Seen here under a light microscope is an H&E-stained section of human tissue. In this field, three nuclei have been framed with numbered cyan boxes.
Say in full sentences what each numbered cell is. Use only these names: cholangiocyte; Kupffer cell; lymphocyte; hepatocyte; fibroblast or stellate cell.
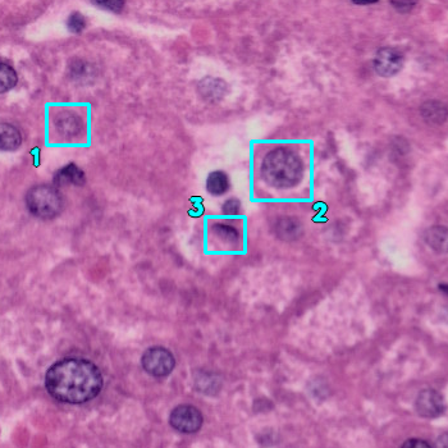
Cell 1 is a hepatocyte, cell 2 is a hepatocyte and cell 3 is a fibroblast or stellate cell.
